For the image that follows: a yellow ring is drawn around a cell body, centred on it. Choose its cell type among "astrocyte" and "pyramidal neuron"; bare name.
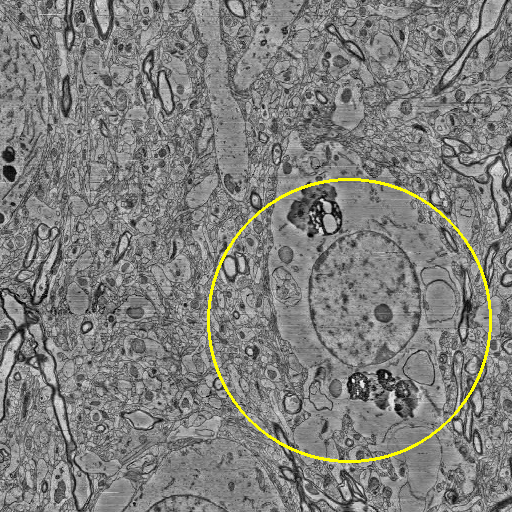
astrocyte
